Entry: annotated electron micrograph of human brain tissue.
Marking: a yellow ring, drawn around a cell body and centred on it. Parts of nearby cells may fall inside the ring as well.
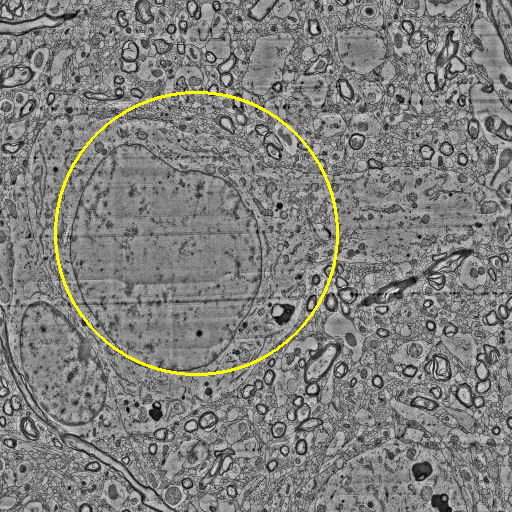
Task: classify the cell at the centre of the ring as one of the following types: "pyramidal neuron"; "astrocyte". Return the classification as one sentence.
The marked cell is classified as a pyramidal neuron.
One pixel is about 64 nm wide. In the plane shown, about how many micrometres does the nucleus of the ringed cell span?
About 15 by 13 micrometers, in this plane.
